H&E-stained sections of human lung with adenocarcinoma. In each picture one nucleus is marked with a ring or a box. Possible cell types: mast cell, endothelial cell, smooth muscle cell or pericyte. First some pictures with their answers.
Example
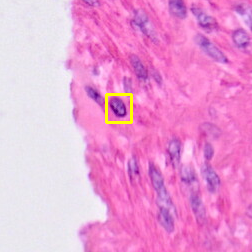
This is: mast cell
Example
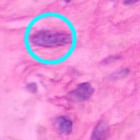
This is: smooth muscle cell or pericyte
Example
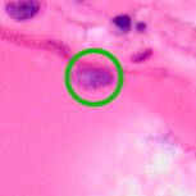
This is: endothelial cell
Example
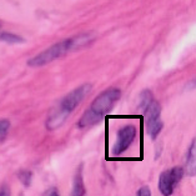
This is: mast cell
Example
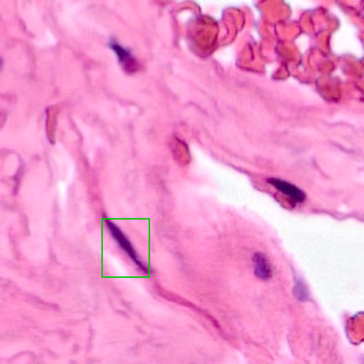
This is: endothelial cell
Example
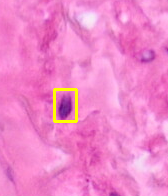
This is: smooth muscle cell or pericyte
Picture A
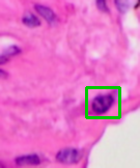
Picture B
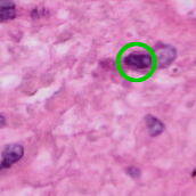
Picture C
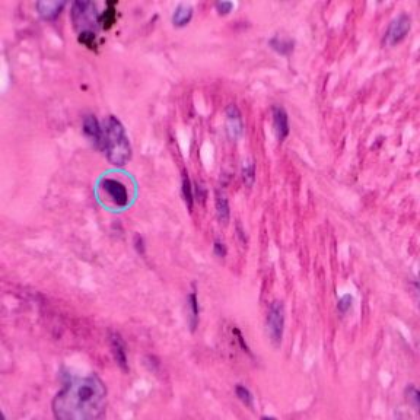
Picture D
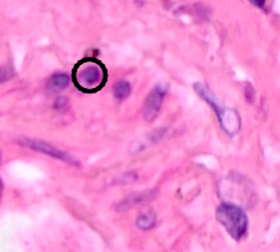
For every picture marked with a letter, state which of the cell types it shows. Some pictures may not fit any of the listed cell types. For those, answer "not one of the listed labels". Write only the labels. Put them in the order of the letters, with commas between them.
not one of the listed labels, not one of the listed labels, mast cell, smooth muscle cell or pericyte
